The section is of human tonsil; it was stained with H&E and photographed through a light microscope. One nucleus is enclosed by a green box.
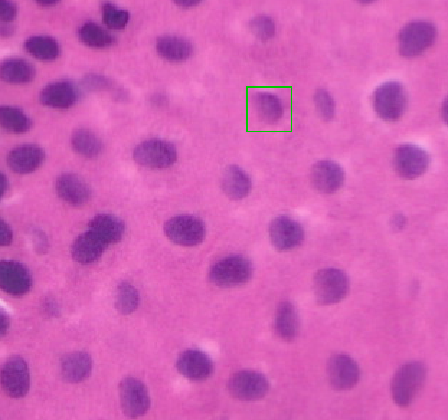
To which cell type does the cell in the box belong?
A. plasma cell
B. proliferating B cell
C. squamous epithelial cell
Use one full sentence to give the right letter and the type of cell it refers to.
Option C names the cell in the box correctly as a squamous epithelial cell.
